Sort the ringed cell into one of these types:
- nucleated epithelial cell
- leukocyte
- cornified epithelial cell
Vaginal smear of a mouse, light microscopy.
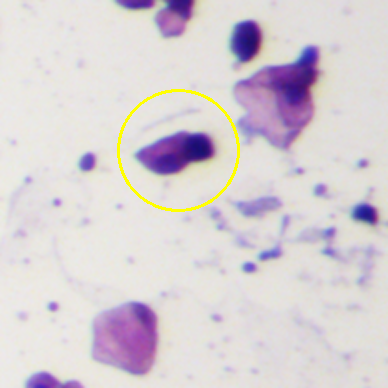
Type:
nucleated epithelial cell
